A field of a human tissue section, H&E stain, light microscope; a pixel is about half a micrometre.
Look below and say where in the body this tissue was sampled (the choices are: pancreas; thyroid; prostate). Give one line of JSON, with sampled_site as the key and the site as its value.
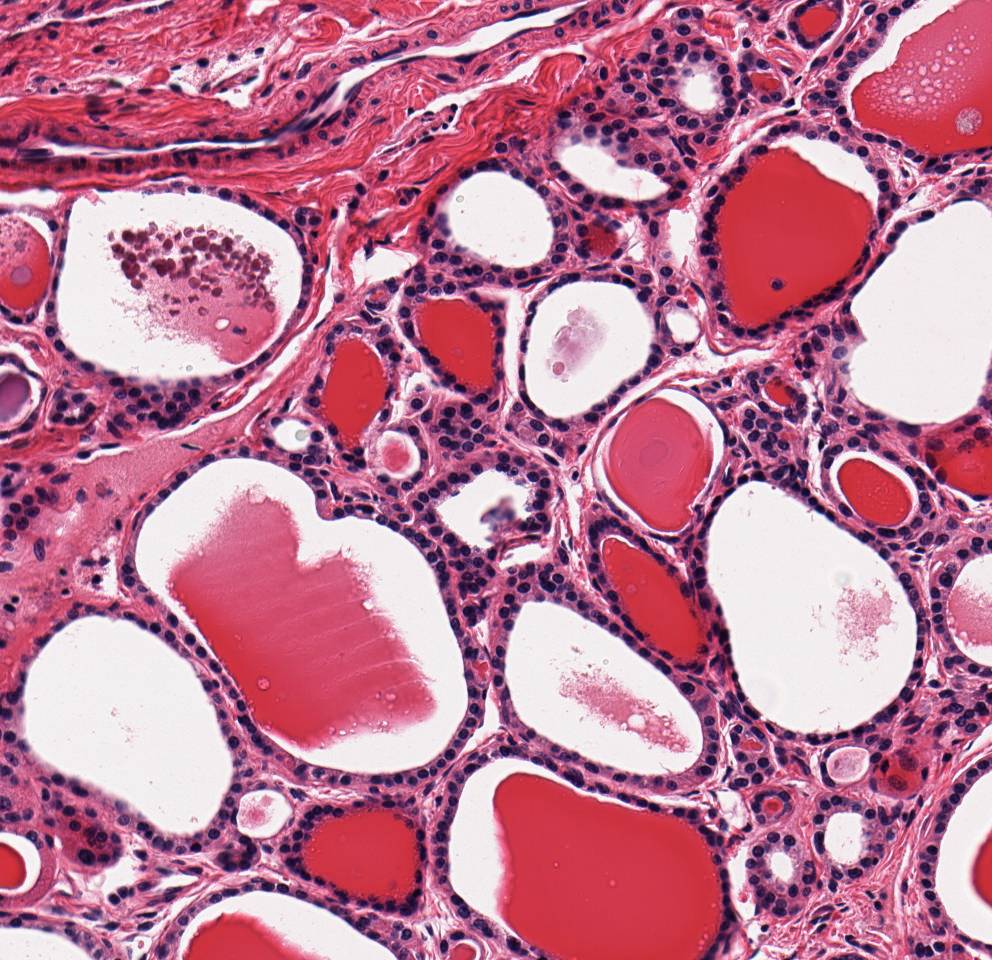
{"sampled_site": "thyroid"}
